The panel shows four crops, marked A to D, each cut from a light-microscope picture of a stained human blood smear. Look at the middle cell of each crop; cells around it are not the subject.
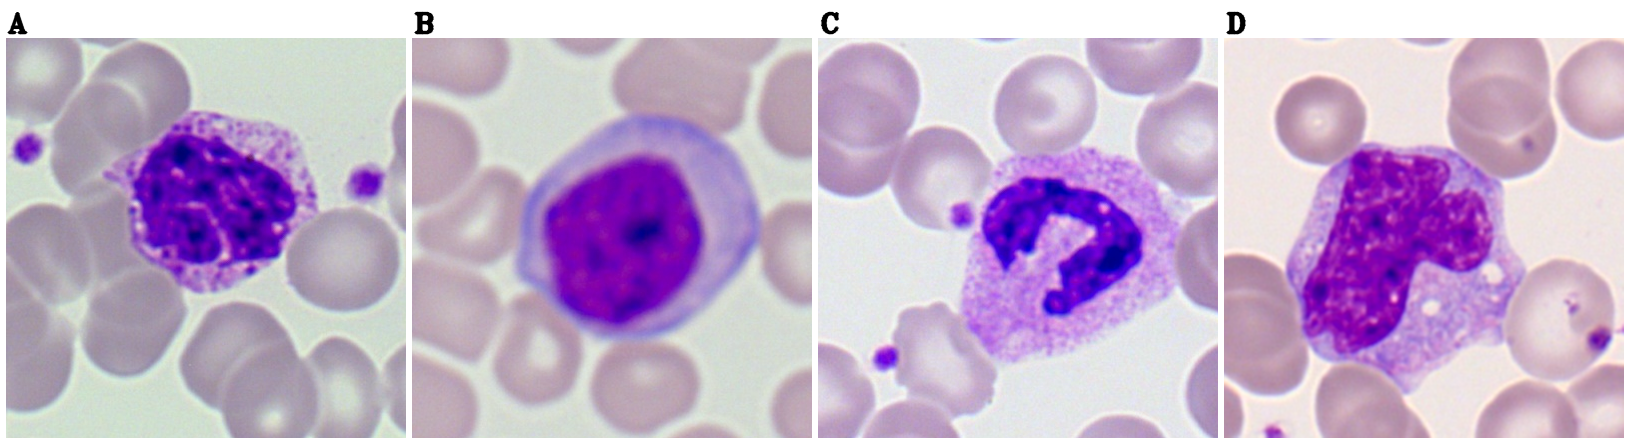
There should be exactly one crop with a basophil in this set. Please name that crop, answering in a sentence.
Crop A is the right one; it is the crop showing a basophil.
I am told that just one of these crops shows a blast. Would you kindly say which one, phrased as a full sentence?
The cell at the center of crop B is the one that is a blast.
